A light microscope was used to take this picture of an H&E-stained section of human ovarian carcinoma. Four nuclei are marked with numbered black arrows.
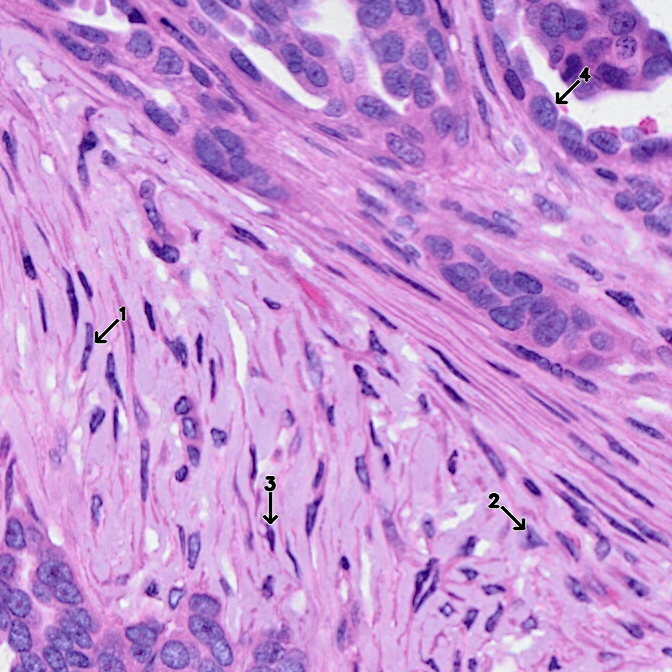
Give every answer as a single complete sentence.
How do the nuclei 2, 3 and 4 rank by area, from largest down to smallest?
The nuclei rank 4, 2, 3, from largest to smallest.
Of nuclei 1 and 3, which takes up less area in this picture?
Nucleus 3 is the smaller one; nucleus 1 covers about 2 times its area.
